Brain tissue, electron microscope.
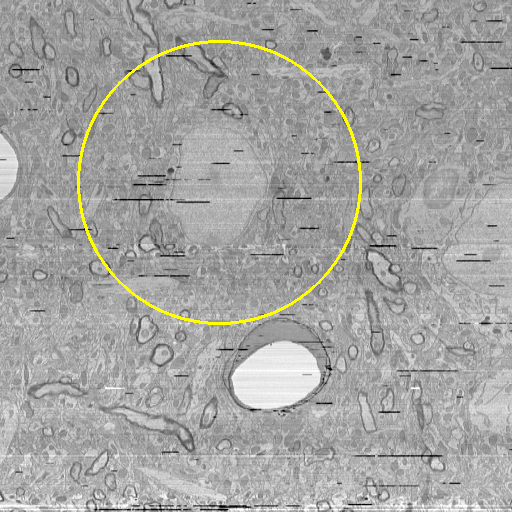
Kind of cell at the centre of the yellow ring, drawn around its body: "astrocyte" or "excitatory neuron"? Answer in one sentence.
The ring's centre falls on an astrocyte.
